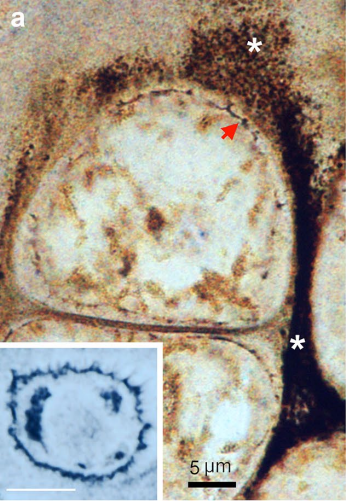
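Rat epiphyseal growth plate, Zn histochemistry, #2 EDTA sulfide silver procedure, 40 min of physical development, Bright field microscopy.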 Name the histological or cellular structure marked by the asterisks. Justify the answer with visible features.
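The asterisks lie on dark brown-black deposit in the matrix immediately surrounding the large cell lacunae. The deposit hugs the cell outlines and thins farther away. The answer: territorial matrix.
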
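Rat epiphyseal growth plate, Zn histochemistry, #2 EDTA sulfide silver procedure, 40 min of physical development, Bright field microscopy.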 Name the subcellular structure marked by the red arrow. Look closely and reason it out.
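The red arrow points to a fine dark line running along the outline of a large pale cell. The line follows the cell edge just inside the lacuna. That points to this answer: plasma membrane.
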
